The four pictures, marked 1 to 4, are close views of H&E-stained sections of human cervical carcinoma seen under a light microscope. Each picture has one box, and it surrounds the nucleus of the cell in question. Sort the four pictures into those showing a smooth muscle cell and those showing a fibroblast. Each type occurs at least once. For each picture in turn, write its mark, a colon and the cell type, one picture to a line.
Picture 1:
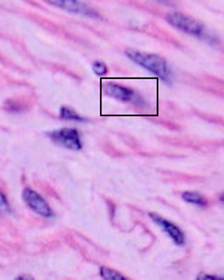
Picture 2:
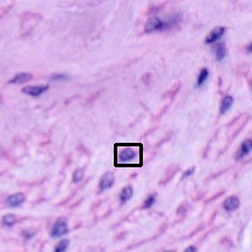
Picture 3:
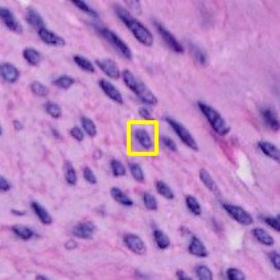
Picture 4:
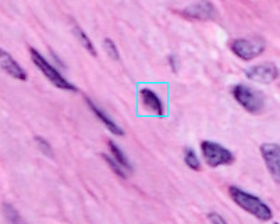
1: smooth muscle cell
2: smooth muscle cell
3: smooth muscle cell
4: fibroblast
